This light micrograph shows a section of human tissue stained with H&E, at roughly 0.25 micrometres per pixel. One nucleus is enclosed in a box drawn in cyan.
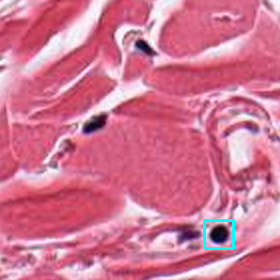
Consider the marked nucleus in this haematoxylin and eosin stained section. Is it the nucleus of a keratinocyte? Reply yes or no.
no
